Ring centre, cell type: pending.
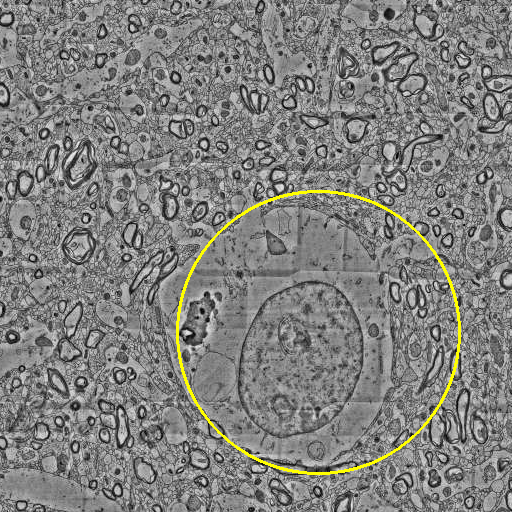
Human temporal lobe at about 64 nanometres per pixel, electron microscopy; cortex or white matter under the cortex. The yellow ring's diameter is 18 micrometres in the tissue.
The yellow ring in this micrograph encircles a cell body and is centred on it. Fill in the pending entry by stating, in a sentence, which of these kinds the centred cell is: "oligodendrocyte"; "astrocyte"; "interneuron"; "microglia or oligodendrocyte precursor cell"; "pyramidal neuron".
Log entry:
The centred cell is recorded as an astrocyte.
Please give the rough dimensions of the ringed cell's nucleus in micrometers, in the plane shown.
In this plane, the nucleus of the cell at the centre of the ring measures about 10 by 8 micrometres.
